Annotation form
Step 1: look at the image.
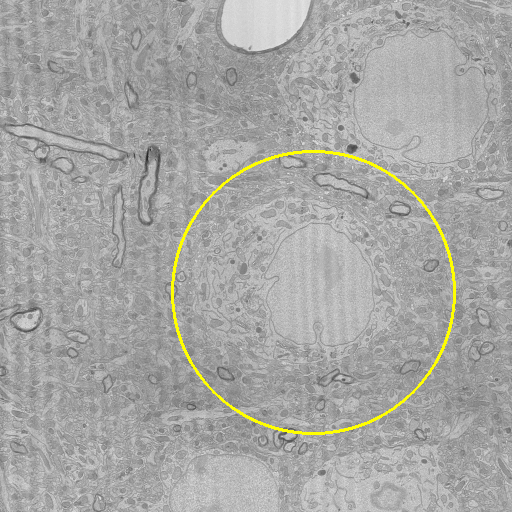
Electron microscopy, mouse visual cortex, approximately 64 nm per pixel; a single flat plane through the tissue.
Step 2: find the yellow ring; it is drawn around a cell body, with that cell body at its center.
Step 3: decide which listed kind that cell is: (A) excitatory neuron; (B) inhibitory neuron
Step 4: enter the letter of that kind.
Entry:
B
